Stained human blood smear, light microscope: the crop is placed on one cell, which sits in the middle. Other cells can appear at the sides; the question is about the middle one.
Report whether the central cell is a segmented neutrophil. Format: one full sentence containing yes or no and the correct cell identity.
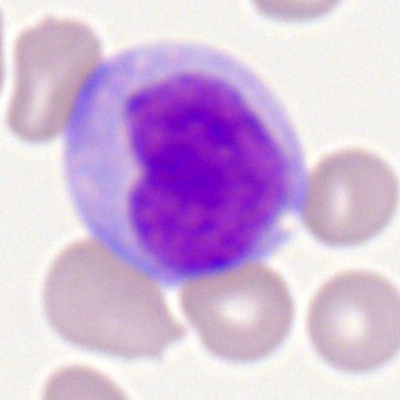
No, the centrally located cell is a monocyte rather than a segmented neutrophil.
